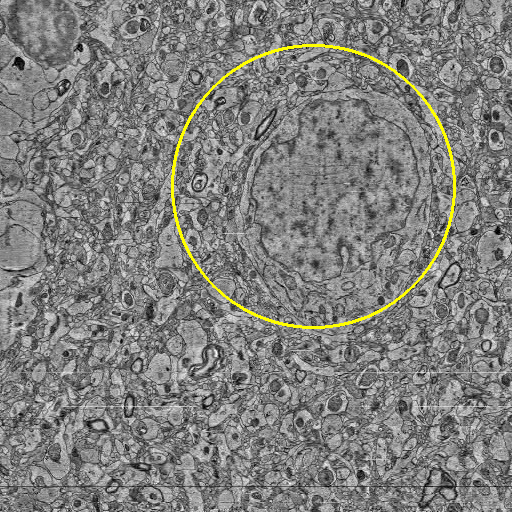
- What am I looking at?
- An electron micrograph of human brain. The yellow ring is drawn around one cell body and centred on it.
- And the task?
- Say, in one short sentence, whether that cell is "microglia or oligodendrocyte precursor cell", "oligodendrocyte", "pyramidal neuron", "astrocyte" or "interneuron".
The cell in the middle of the ring is an interneuron.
